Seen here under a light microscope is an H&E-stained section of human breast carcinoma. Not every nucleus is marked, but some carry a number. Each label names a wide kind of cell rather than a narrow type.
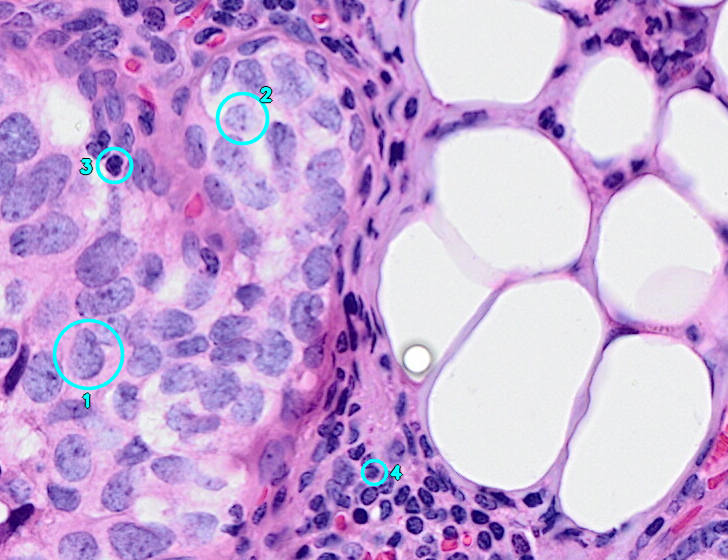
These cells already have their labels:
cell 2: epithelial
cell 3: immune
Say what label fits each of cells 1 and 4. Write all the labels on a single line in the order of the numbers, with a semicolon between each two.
epithelial; immune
